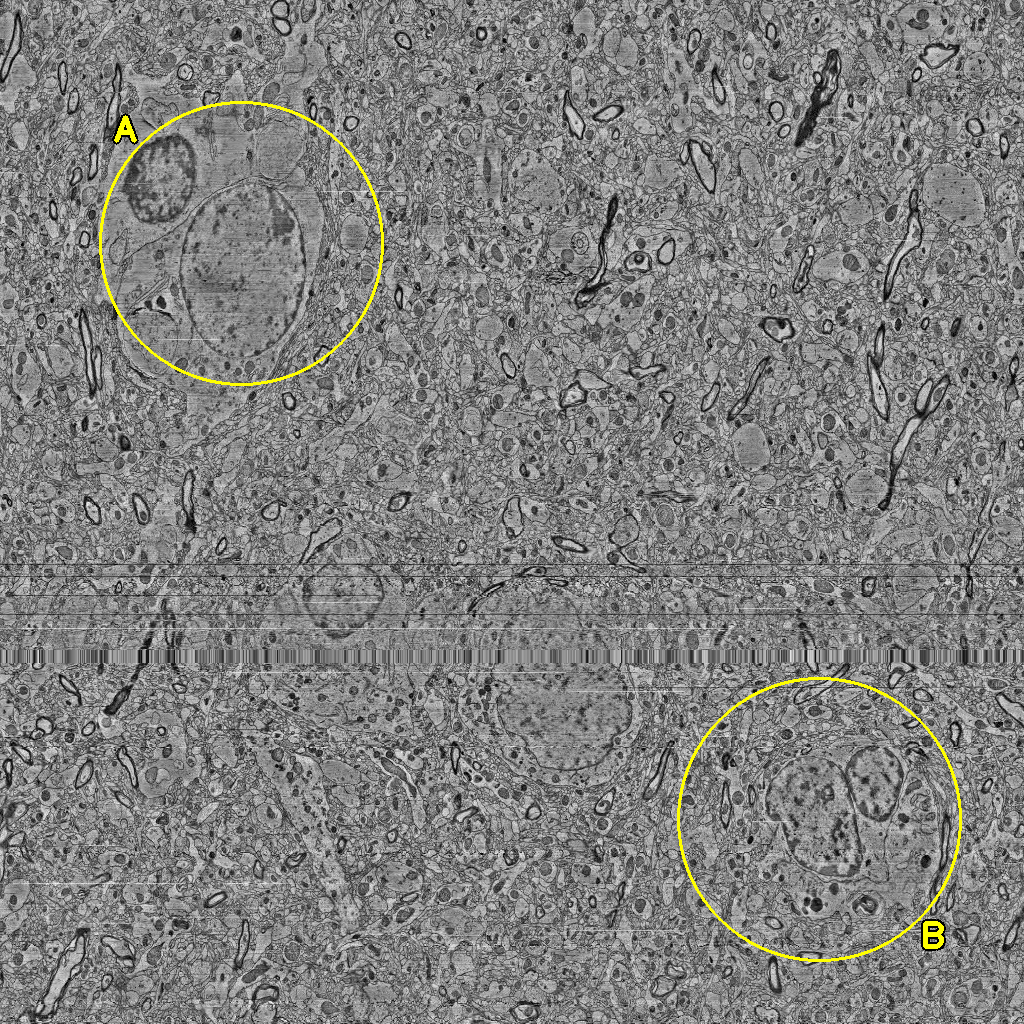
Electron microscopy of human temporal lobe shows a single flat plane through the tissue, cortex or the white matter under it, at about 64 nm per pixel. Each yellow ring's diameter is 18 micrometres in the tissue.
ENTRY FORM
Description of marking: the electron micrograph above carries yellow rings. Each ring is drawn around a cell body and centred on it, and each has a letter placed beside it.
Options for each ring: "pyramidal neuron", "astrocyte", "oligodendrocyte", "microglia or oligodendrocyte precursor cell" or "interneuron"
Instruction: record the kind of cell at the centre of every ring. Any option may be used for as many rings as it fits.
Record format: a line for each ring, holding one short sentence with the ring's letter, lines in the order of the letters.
Ring A surrounds the cell body of an astrocyte.
Ring B surrounds the cell body of a microglial cell or oligodendrocyte precursor cell.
